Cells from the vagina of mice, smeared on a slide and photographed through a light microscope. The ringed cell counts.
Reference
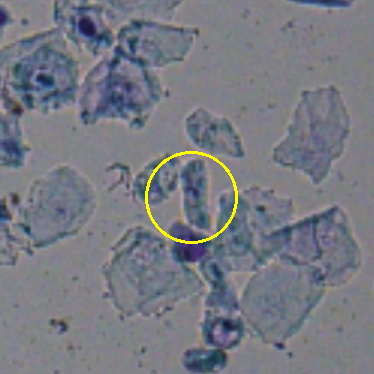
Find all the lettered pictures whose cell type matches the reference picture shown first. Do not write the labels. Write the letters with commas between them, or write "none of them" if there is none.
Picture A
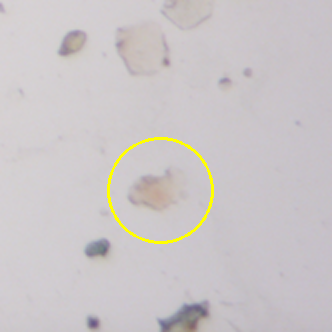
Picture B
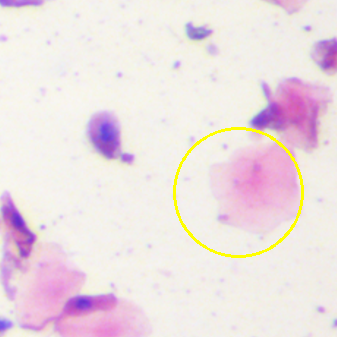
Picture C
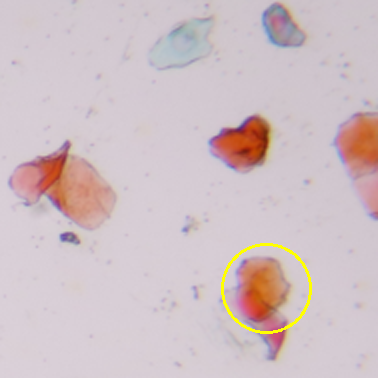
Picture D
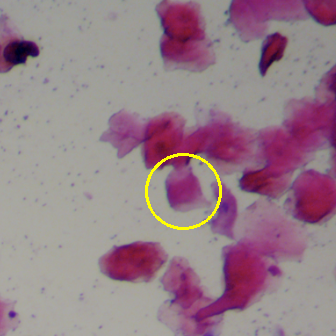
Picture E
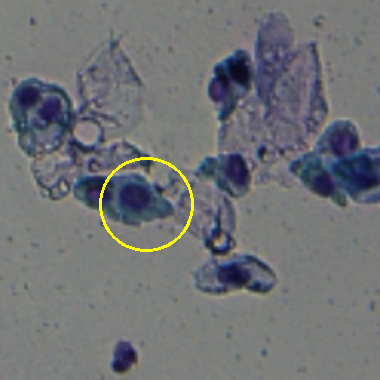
A, B, C, D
